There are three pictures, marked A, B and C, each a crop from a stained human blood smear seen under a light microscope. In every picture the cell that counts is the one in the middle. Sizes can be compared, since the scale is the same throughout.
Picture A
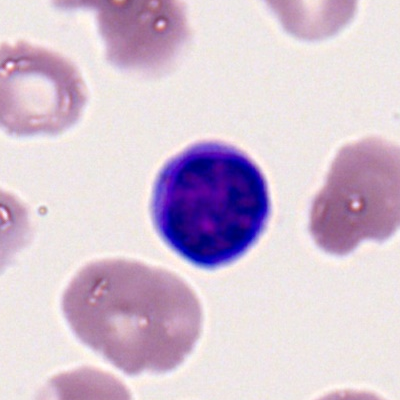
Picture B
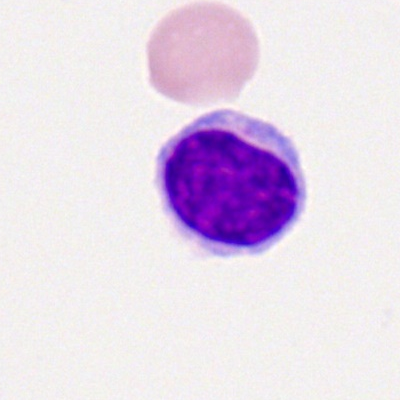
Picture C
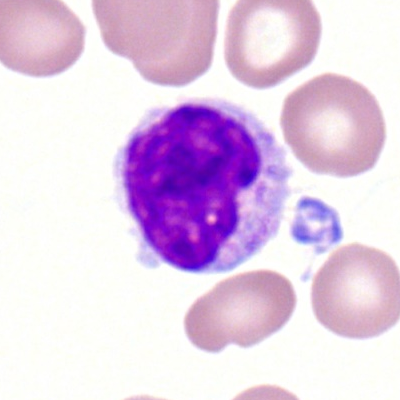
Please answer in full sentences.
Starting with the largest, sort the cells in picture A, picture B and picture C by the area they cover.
Going down, they run C, B, A.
